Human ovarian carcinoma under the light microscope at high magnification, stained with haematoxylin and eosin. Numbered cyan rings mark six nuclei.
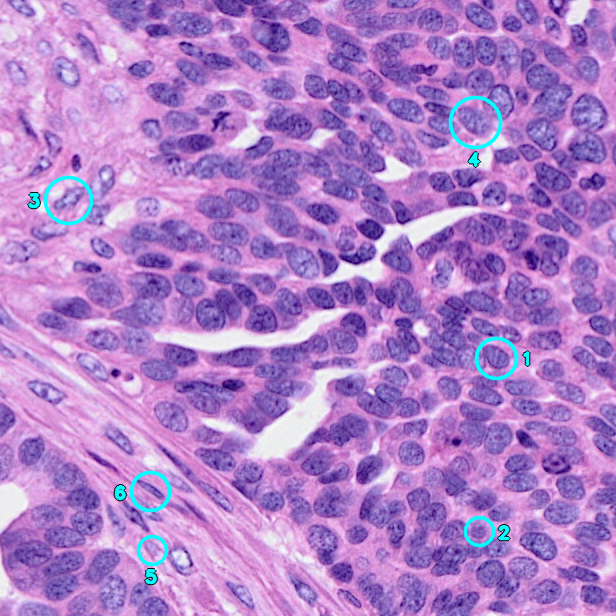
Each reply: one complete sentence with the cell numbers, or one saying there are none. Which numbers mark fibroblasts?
The cells numbered 3, 5 and 6 are, by type, fibroblasts.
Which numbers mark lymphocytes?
All of the numbered cells are cells other than lymphocytes.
